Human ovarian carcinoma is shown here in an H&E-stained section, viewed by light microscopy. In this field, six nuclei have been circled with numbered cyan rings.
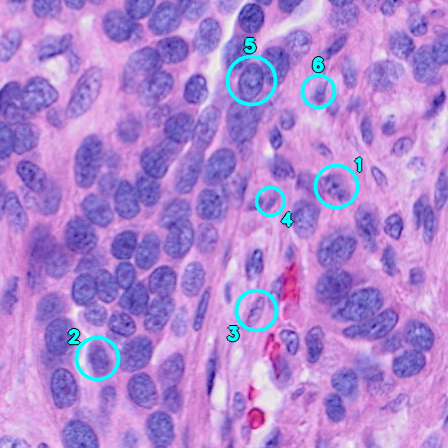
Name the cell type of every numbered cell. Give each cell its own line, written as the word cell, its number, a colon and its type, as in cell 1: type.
cell 1: fibroblast
cell 2: carcinoma cell
cell 3: fibroblast
cell 4: fibroblast
cell 5: carcinoma cell
cell 6: fibroblast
